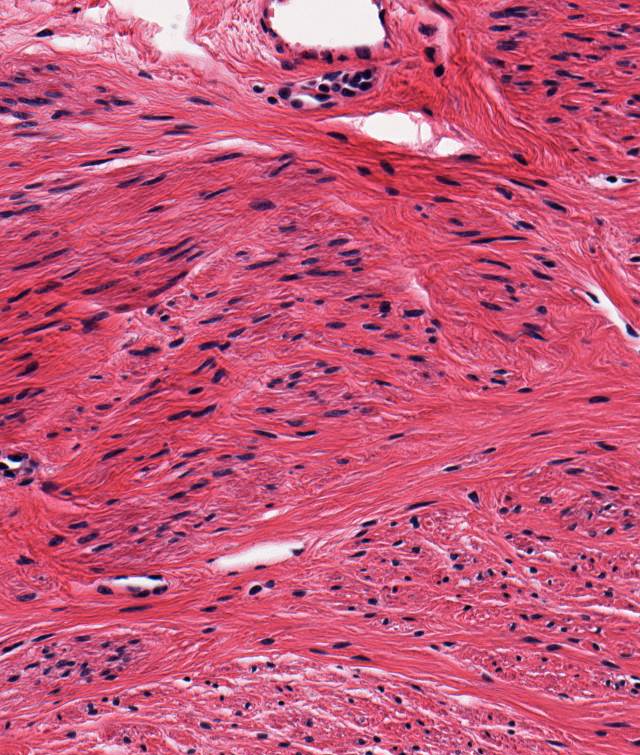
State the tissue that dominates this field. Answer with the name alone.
dense connective tissue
